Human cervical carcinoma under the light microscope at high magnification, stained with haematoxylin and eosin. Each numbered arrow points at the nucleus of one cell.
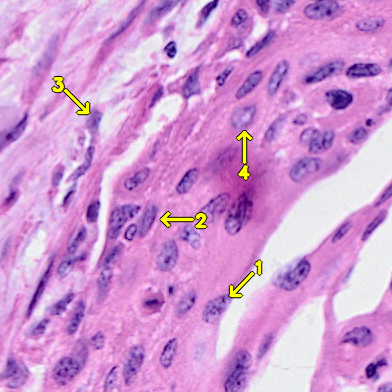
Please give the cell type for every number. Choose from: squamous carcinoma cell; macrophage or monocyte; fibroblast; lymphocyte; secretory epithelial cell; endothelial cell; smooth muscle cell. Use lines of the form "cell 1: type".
cell 1: squamous carcinoma cell
cell 2: squamous carcinoma cell
cell 3: fibroblast
cell 4: squamous carcinoma cell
